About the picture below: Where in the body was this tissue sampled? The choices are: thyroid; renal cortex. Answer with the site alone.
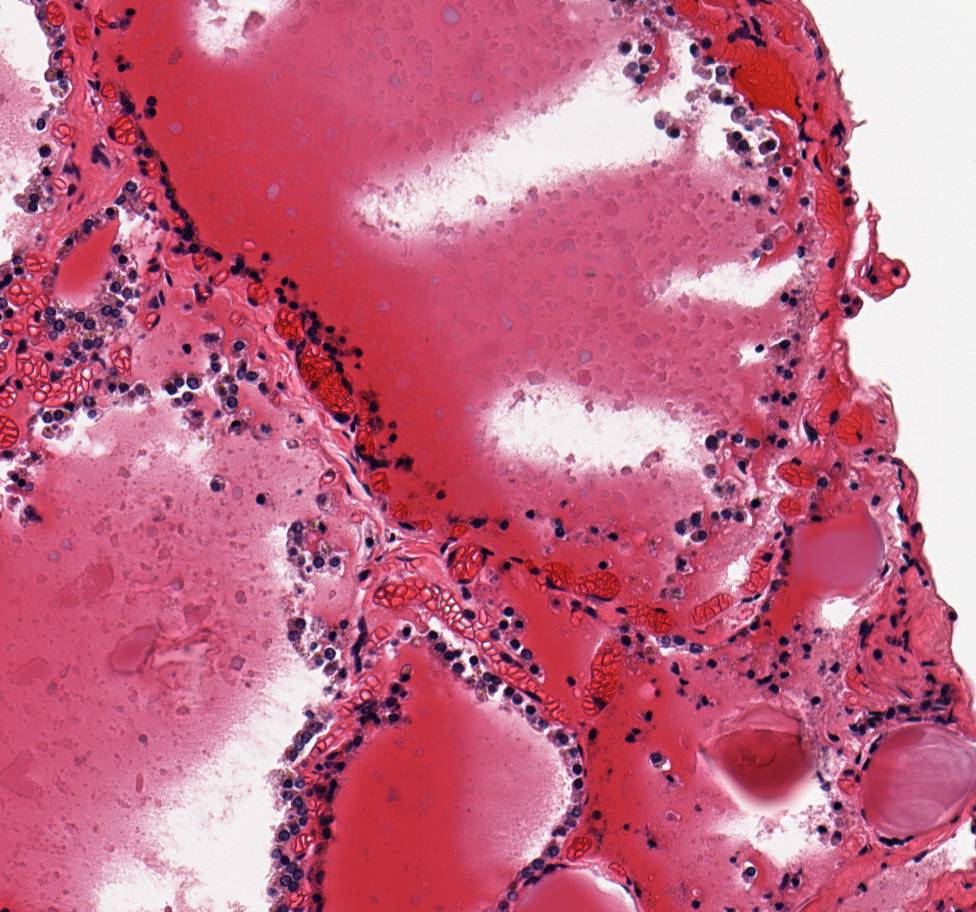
thyroid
